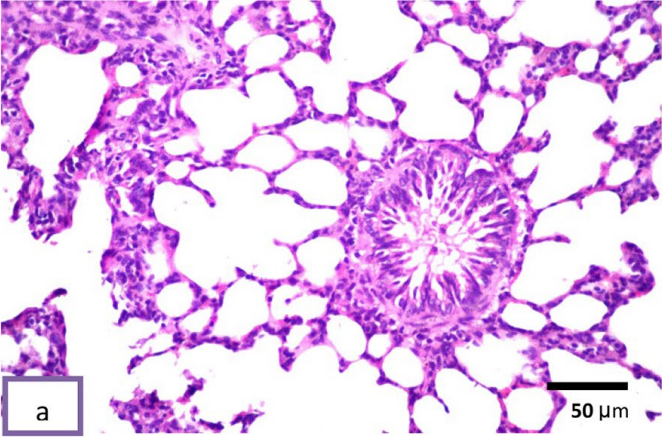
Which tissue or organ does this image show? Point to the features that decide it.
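Many open air spaces separated by thin septa with scattered nuclei fill the panel.
Answer: air alveoli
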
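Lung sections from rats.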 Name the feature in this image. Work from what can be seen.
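Thin-walled air spaces surround the airway on all sides. So: bronchioles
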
